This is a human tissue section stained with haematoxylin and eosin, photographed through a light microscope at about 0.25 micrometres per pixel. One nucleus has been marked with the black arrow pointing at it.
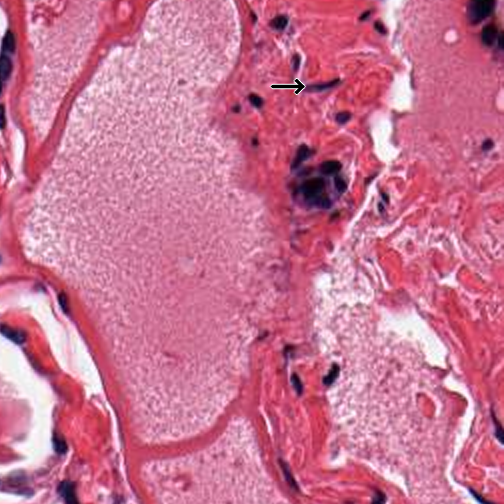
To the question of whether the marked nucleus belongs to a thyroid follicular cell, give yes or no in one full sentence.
No, the marked nucleus belongs to a supporting cell, and a thyroid follicular cell is not its owner.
